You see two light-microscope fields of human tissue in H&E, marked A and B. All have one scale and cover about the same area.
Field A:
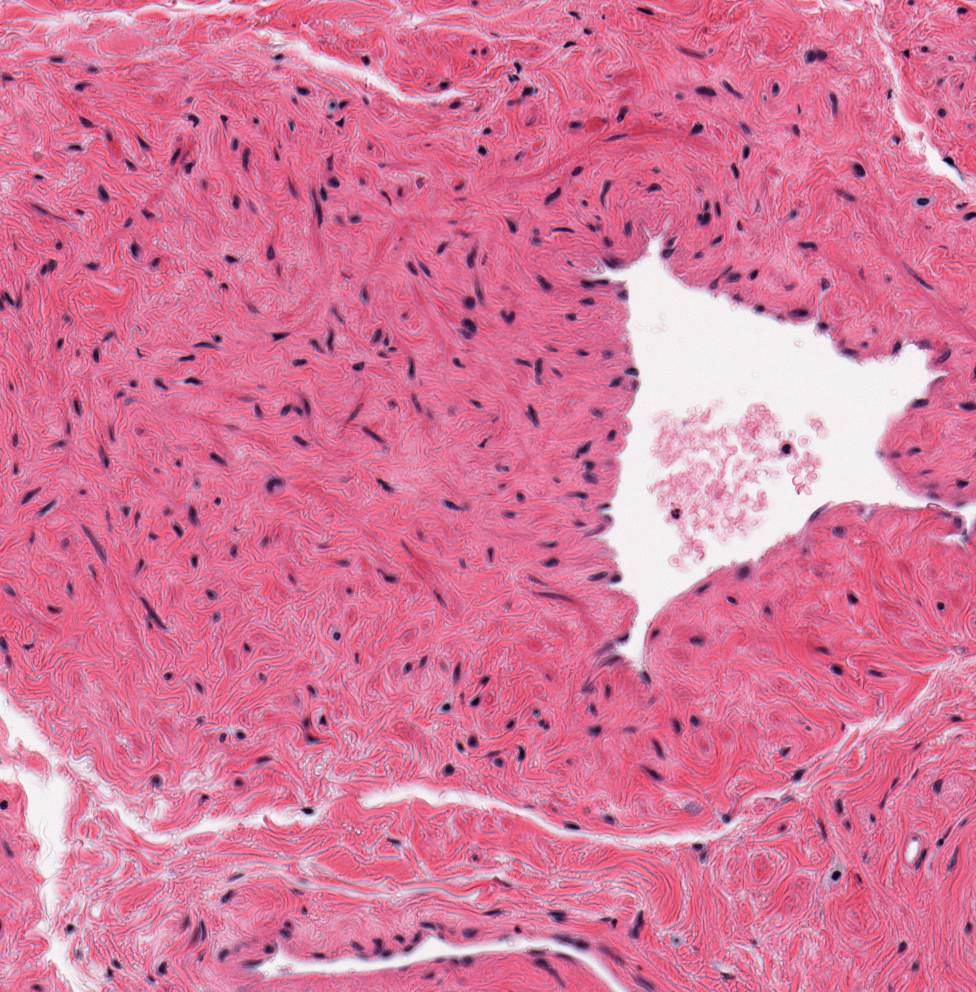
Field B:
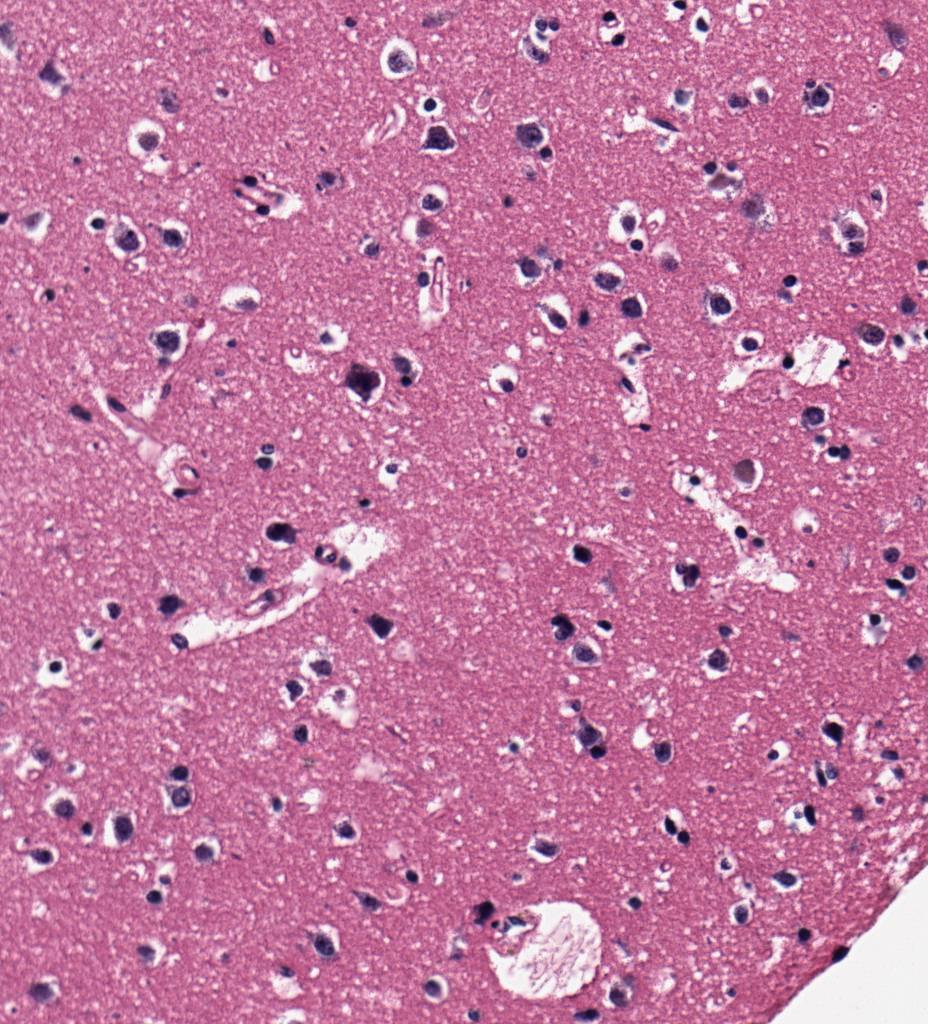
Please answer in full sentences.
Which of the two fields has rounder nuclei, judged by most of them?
Rounder nuclei lie in field B.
